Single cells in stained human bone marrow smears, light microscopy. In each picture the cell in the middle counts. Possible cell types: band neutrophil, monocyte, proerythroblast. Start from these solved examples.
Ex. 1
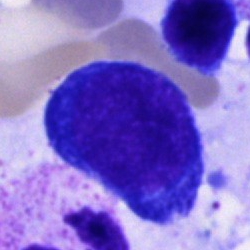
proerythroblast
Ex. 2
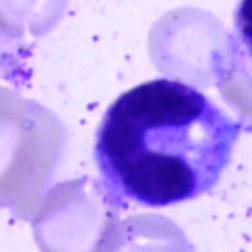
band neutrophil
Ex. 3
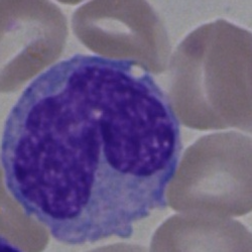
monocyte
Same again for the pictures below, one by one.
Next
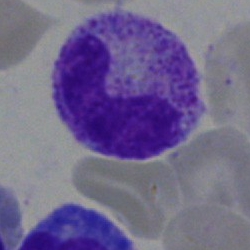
band neutrophil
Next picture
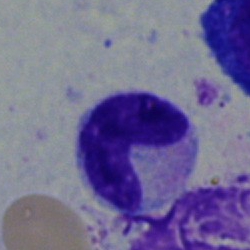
band neutrophil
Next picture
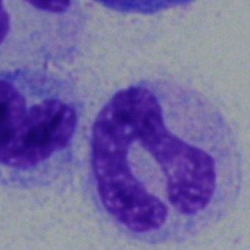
band neutrophil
